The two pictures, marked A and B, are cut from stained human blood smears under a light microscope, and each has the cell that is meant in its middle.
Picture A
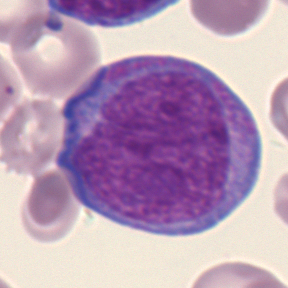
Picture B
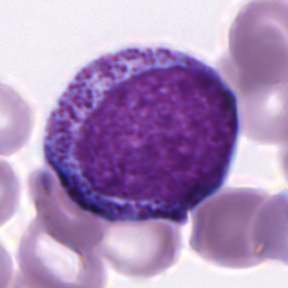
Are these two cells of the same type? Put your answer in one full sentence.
Yes, the two pictures both show promyelocytes.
